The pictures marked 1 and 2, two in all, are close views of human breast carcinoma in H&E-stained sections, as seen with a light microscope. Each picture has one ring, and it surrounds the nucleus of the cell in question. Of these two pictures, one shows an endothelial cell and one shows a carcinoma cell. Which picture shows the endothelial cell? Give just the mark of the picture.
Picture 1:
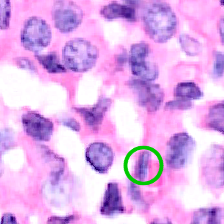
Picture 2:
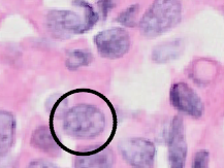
1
